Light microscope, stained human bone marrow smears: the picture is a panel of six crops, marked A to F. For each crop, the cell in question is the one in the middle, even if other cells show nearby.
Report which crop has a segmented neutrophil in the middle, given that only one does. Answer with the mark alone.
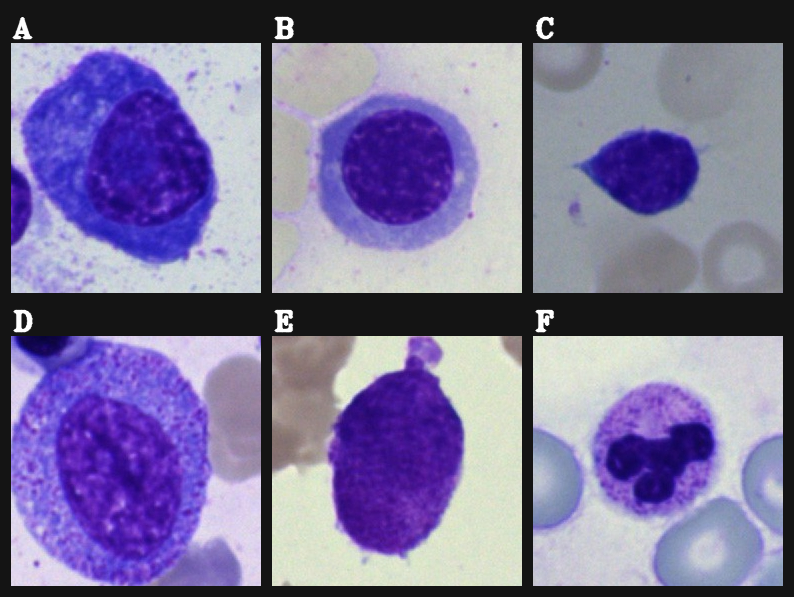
F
